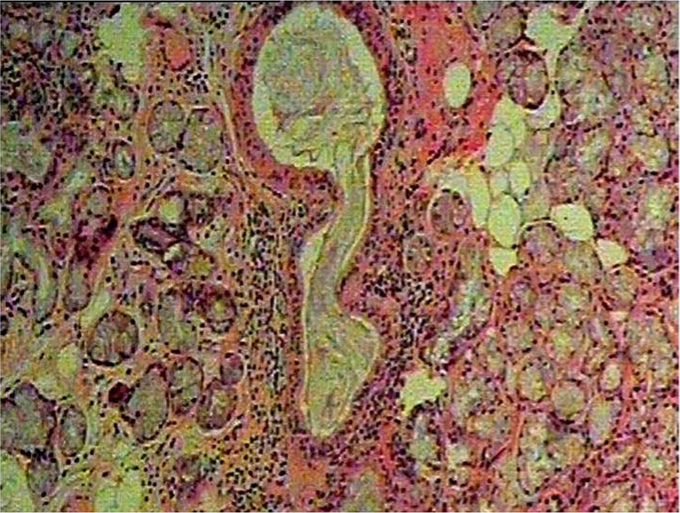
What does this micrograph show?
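Salivary gland tissue with lobules of acini, pale mucous acini on both sides and a dilated elongated duct in the centre, set in pink connective tissue. Dense collections of small cells with dark nuclei crowd the stroma around the duct and between the acini.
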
